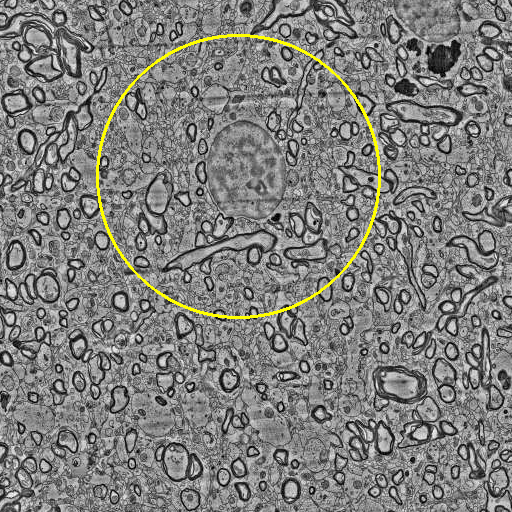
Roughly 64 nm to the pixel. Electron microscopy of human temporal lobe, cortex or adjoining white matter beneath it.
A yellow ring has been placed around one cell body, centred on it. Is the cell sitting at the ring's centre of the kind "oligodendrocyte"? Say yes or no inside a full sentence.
Yes, the cell sitting at the centre of the yellow ring is of that kind.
